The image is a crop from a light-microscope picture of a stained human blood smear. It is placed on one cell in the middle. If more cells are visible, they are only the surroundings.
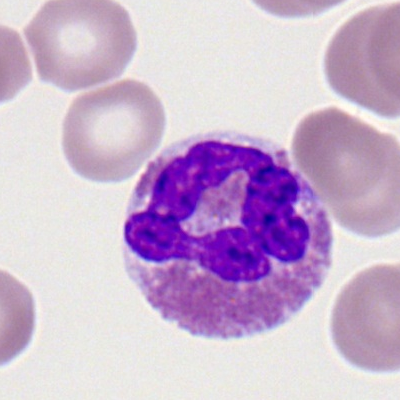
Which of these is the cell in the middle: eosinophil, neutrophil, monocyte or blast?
eosinophil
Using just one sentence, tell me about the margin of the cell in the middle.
Expected answer: a smooth cell outline without projections of any sort.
